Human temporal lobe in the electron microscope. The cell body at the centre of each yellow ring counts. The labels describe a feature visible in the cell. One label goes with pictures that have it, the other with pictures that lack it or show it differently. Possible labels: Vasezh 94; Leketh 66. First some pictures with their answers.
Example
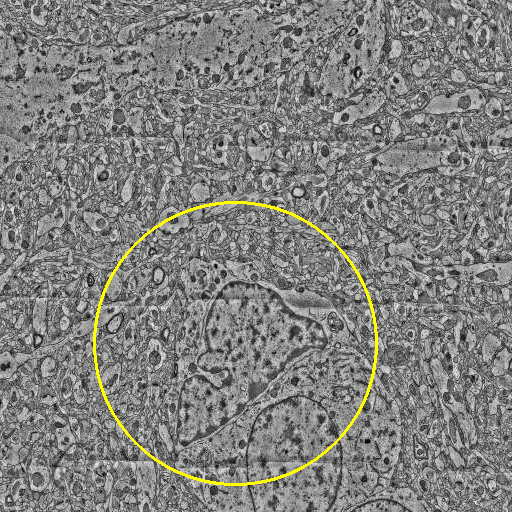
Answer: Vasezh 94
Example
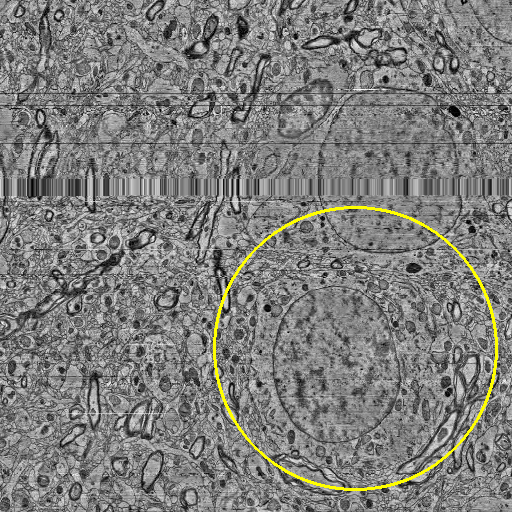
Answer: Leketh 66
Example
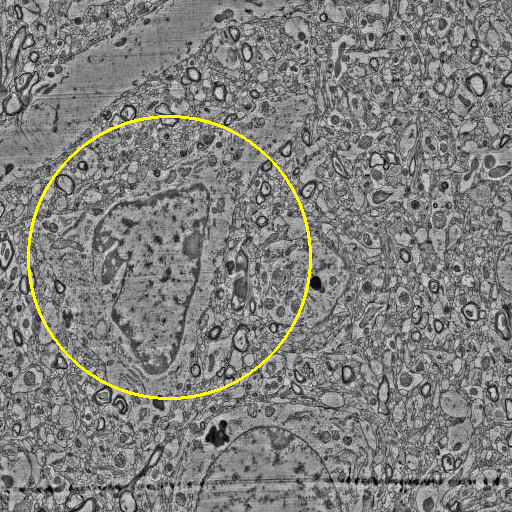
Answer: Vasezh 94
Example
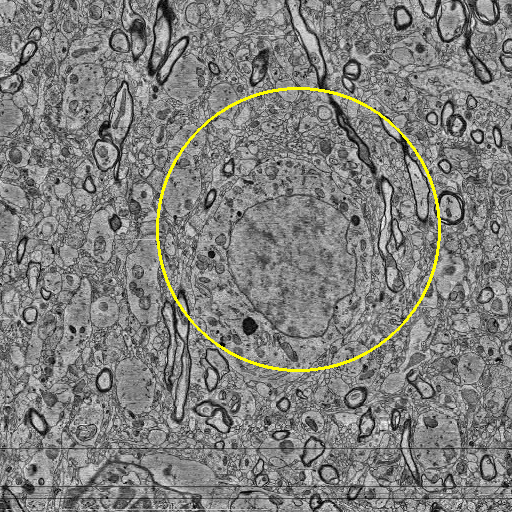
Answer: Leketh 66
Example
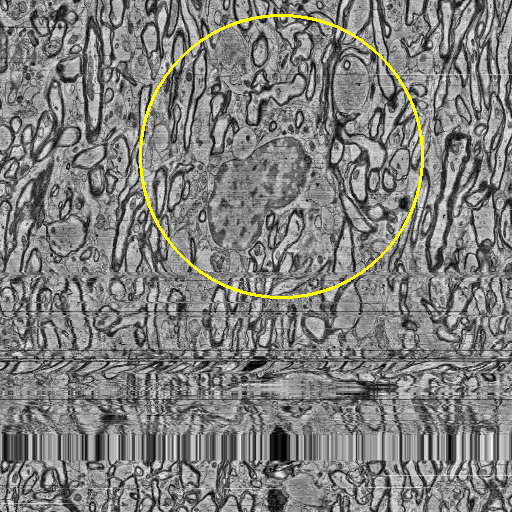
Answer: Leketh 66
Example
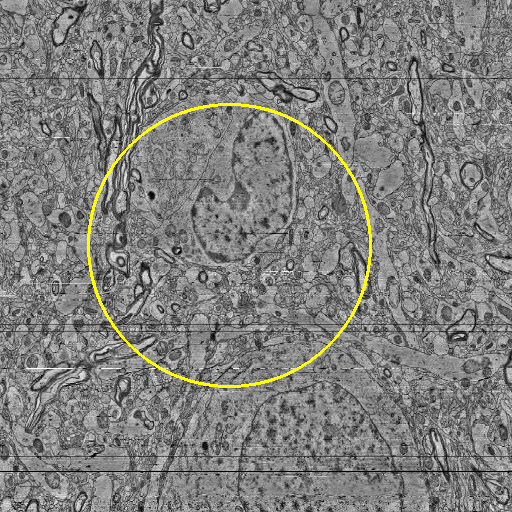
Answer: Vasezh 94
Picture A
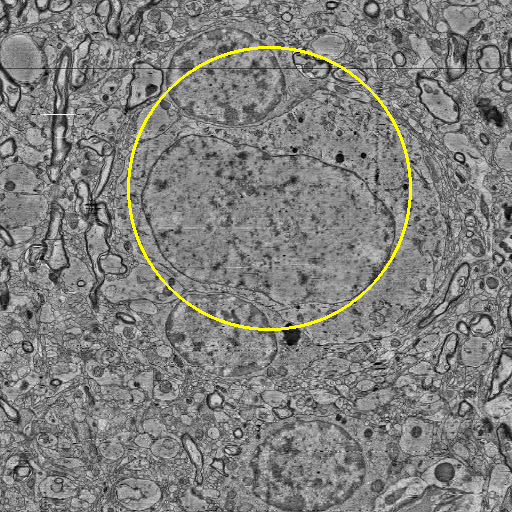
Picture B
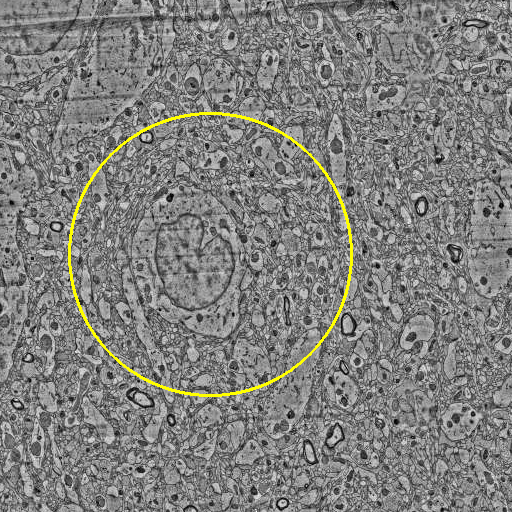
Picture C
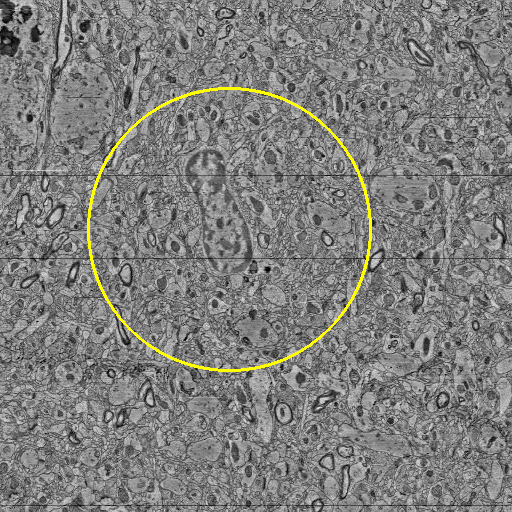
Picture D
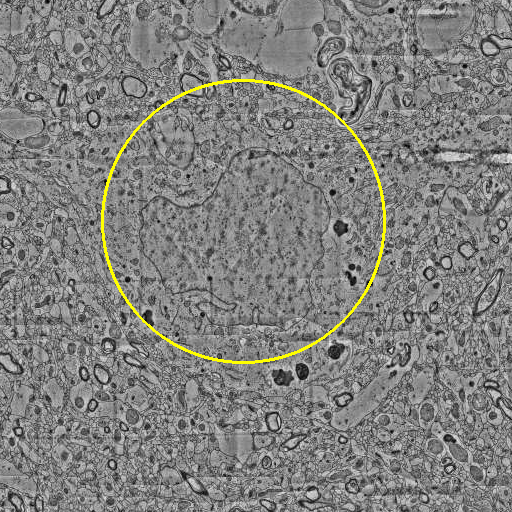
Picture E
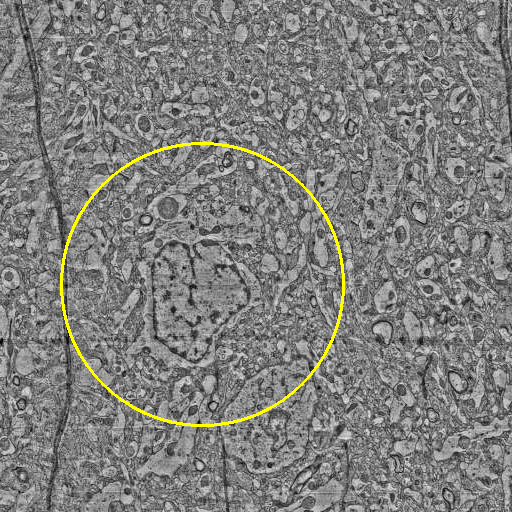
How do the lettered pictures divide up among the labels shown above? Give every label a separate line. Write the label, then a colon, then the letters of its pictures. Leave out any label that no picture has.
Vasezh 94: B, C, D, E
Leketh 66: A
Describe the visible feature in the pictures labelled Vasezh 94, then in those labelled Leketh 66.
Seen in Vasezh 94: deeply folded or indented nuclear envelopes; seen in Leketh 66: smooth nuclear envelopes without deep folds.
